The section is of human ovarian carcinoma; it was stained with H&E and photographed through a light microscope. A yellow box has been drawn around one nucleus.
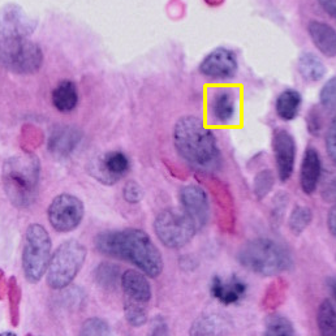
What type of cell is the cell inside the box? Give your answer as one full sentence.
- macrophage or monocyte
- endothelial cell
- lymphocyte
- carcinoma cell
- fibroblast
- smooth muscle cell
At the level of cell identity, the cell inside the box is a lymphocyte.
